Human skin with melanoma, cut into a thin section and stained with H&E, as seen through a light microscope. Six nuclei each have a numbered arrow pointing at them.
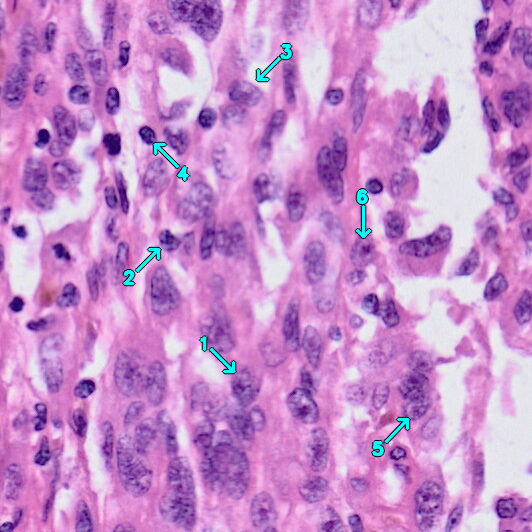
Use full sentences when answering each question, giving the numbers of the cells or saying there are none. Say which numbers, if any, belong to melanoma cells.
Cells 1, 3, 5 and 6 are recognised here as melanoma cells.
